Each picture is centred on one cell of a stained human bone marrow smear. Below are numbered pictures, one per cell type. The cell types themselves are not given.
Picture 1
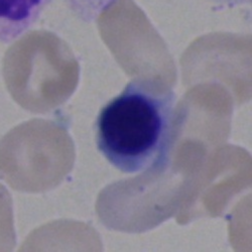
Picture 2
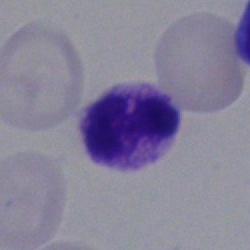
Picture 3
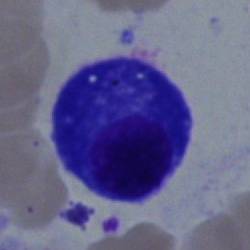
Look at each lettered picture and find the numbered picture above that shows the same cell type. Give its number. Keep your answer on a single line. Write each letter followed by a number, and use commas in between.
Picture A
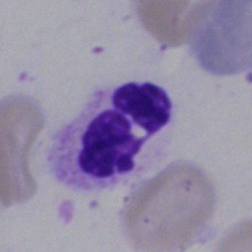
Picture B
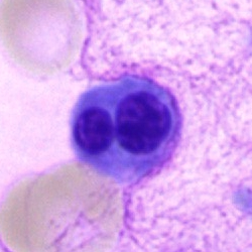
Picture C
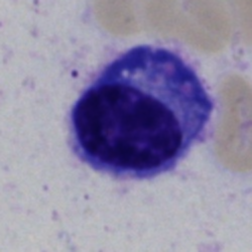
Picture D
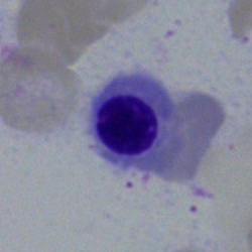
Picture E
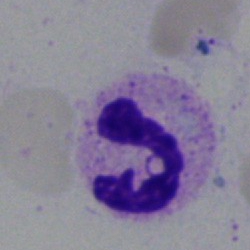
A 2, B 1, C 3, D 1, E 2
